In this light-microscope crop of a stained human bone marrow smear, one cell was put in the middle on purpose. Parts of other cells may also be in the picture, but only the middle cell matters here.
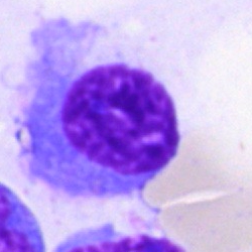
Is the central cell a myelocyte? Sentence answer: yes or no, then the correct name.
No, the central cell is not a myelocyte, being instead a plasma cell.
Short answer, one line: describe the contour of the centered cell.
Rather than running smoothly, the cell border is ragged or carries projections.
